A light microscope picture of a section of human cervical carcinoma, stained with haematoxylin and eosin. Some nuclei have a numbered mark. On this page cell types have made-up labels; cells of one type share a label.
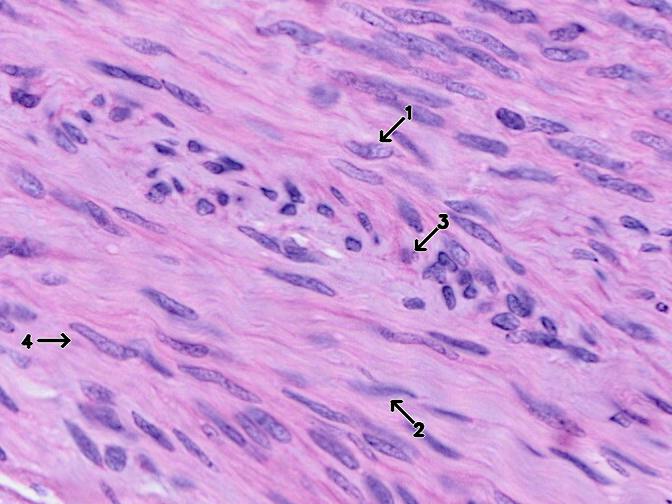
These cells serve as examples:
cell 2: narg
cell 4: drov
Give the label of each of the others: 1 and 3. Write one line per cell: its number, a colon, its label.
1: drov
3: drov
